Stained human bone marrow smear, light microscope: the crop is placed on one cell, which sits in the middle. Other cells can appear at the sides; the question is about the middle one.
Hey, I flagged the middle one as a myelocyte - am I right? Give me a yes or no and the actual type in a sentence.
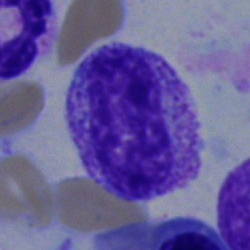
Yes, the cell in the middle of the view is a myelocyte.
